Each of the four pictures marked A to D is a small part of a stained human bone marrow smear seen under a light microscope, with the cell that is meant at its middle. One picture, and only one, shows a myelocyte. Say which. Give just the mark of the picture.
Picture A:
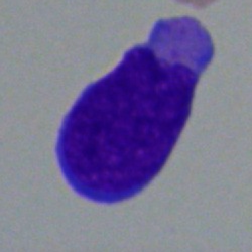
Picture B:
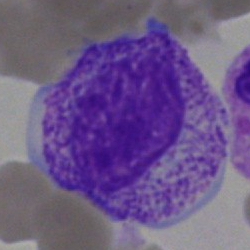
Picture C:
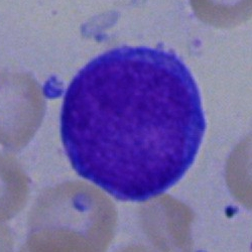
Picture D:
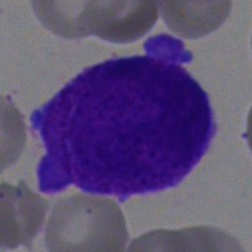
B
